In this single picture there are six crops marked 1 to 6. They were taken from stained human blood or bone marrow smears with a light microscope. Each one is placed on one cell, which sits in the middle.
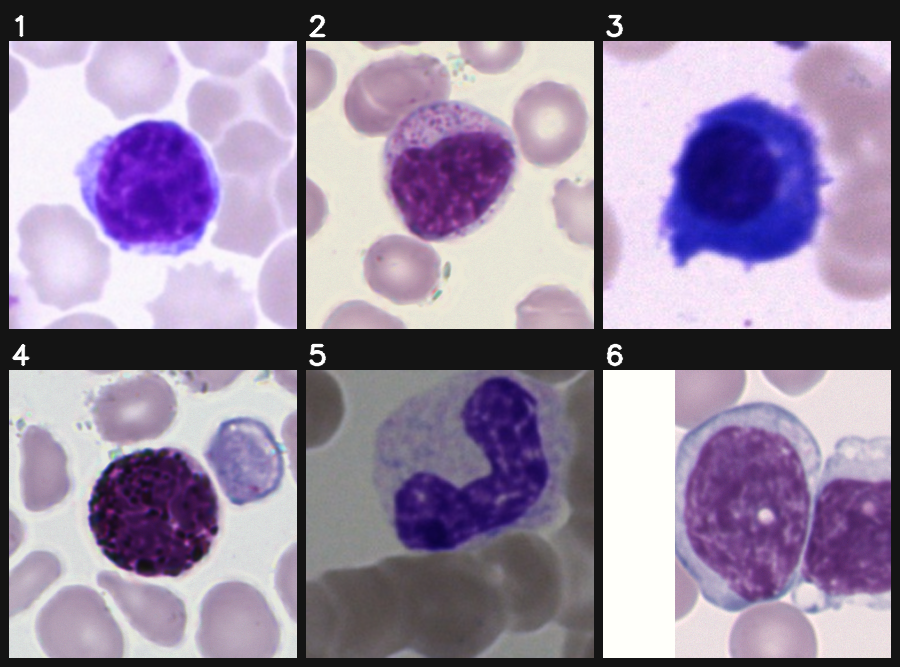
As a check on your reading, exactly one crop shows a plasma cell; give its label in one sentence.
Crop 3 is the single crop that shows a plasma cell.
